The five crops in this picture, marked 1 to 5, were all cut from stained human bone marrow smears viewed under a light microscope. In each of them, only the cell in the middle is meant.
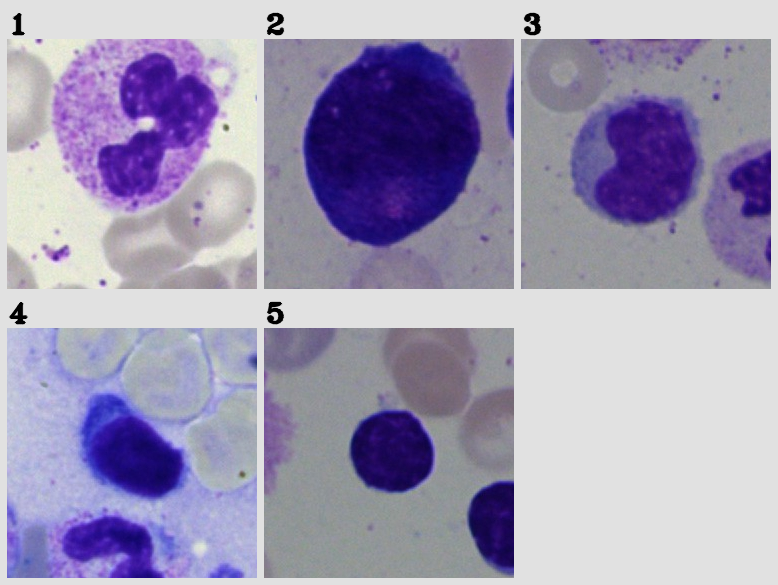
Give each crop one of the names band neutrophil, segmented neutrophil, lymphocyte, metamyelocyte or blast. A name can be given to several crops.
1: segmented neutrophil
2: blast
3: metamyelocyte
4: lymphocyte
5: lymphocyte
